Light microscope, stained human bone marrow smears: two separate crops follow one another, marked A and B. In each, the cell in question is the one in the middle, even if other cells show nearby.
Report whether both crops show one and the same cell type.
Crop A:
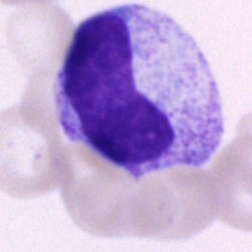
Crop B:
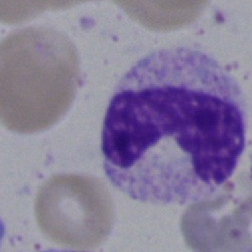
no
